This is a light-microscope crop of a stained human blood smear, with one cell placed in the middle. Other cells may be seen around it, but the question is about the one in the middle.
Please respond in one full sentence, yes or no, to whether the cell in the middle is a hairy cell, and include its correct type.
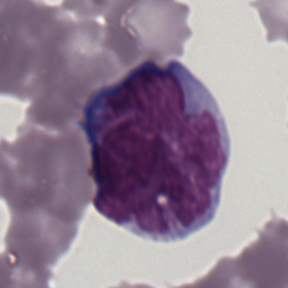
No, the central cell in this crop is a blast and not a hairy cell.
